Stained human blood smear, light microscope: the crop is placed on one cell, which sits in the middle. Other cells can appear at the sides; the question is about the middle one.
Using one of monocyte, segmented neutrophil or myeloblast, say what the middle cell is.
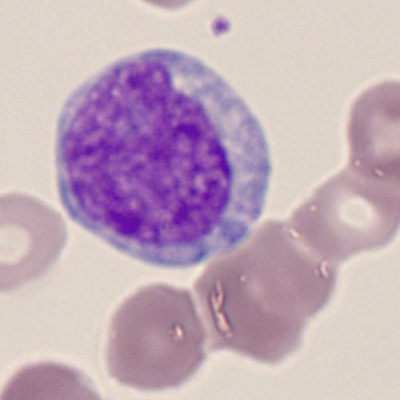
monocyte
